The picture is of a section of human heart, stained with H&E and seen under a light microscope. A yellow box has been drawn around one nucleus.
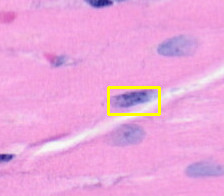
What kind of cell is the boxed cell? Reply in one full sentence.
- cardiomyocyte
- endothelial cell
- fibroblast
The boxed cell is an endothelial cell.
